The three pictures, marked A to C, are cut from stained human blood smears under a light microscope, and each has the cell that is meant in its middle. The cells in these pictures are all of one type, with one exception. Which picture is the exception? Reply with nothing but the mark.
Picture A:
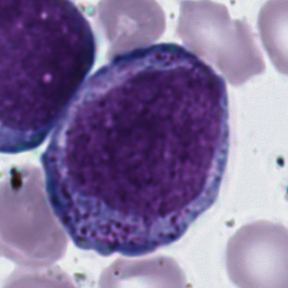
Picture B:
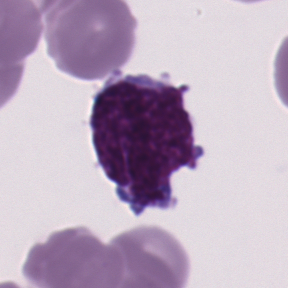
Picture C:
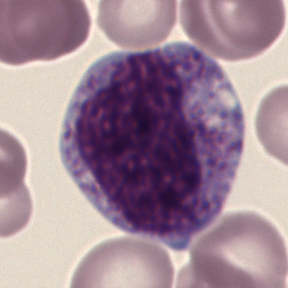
B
